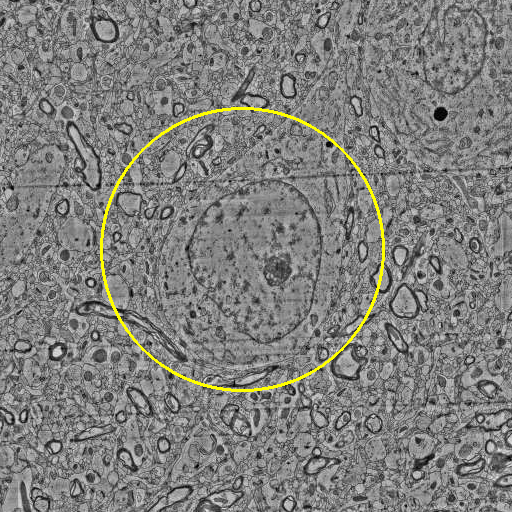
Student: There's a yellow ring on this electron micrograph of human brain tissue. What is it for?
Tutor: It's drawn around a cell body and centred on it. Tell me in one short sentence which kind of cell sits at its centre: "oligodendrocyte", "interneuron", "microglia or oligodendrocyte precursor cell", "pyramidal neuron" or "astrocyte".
The cell at the centre of the ring is a pyramidal neuron.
